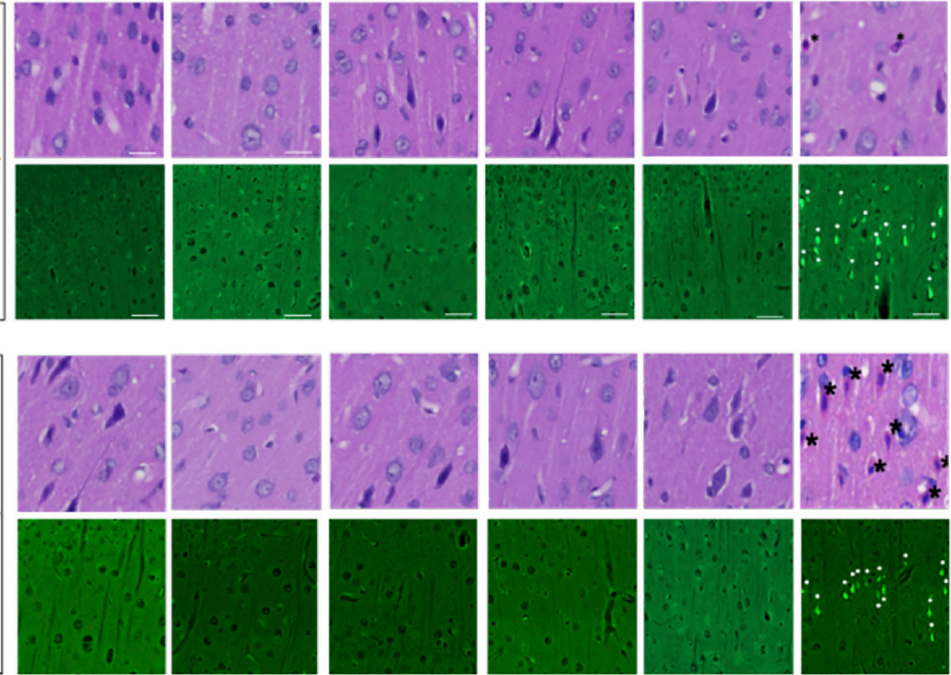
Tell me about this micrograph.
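Sections of cerebral cortex shown in pairs of pink and green rows. In the pink, hematoxylin and eosin stained tiles, most neurons have round, pale nuclei with a distinct dark nucleolus and a thin rim of purple cytoplasm, scattered in a pink neuropil with a few elongated pyramidal cell bodies. In the rightmost tiles, the cells next to the black asterisks are shrunken and angular, with small, dark, condensed nuclei. In the green fluorescent rows, most tiles show only a dim background with dark round holes where cell bodies lie, whereas the rightmost tiles contain many bright green, spindle-shaped profiles marked with white dots.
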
